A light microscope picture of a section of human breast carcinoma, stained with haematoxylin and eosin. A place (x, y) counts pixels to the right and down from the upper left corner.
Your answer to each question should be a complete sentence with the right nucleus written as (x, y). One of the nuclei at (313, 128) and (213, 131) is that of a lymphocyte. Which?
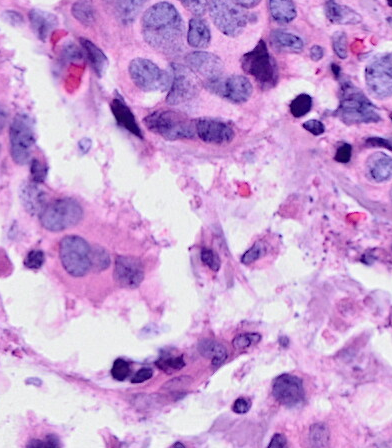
The nucleus whose position is (313, 128) belongs to a lymphocyte.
